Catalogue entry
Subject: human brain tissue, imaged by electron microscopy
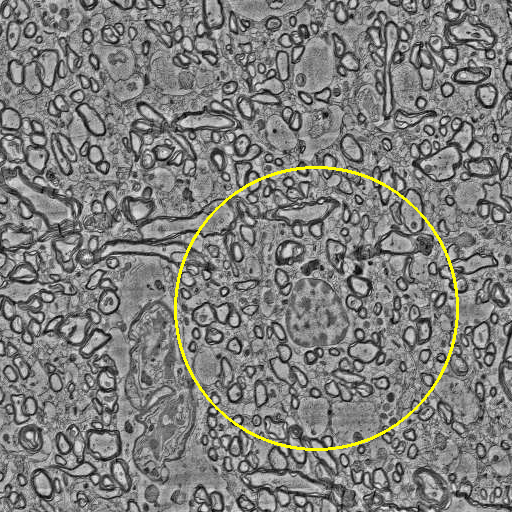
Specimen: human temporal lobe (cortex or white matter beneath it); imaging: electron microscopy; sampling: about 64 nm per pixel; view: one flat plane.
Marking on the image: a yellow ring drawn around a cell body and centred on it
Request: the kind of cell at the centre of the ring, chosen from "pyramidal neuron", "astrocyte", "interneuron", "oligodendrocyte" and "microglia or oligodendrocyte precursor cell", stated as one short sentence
The ring has a microglial cell or oligodendrocyte precursor cell at its centre.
